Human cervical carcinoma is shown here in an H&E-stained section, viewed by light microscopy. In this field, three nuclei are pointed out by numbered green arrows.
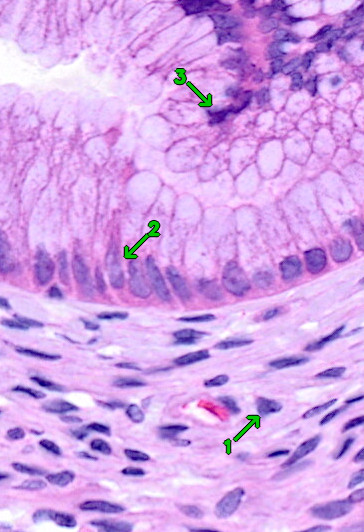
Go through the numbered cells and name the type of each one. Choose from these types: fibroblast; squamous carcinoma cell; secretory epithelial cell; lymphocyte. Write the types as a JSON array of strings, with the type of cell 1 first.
["fibroblast", "secretory epithelial cell", "secretory epithelial cell"]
